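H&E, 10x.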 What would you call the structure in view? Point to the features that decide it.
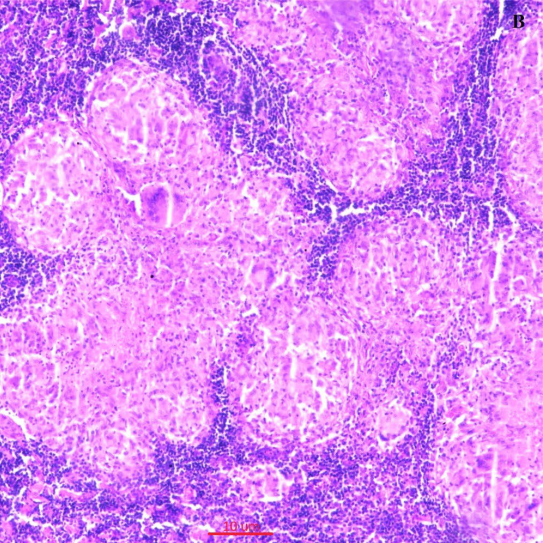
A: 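Well-formed granuloma. Rounded nodules of pale pink cells with elongated pale nuclei. The nodules are separated by bands of densely packed dark blue small lymphocytes. A multinucleated giant cell lies within one nodule.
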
